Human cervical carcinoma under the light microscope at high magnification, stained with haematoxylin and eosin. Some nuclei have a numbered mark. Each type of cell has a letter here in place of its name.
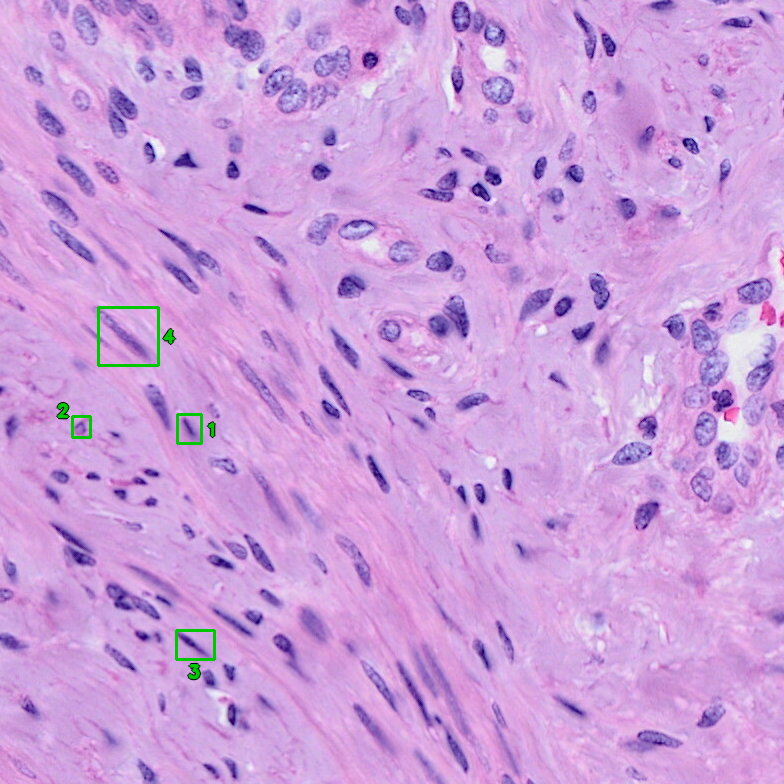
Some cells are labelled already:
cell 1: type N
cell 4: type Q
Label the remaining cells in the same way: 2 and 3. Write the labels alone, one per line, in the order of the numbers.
type Q
type N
